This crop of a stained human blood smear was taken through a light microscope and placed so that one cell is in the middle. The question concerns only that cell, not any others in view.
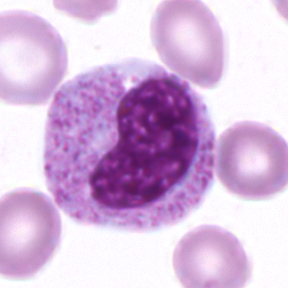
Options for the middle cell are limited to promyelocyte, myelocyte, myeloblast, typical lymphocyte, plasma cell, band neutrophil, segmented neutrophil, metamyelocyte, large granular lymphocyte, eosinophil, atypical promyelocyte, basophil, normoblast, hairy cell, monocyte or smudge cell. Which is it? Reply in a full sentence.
The identification for the central cell is a metamyelocyte.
